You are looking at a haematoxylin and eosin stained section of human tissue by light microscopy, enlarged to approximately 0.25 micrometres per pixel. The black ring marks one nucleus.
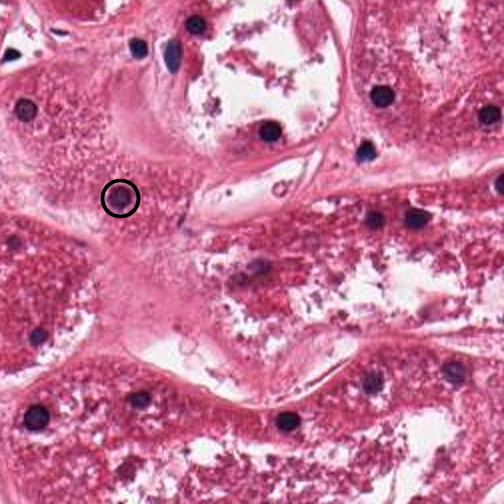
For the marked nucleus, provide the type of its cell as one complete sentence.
The nucleus indicated by the mark belongs to a proximal tubule cell.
